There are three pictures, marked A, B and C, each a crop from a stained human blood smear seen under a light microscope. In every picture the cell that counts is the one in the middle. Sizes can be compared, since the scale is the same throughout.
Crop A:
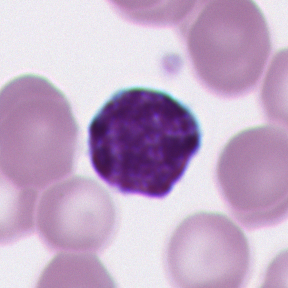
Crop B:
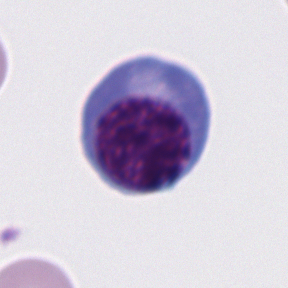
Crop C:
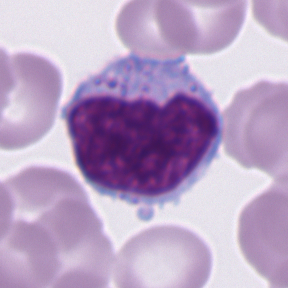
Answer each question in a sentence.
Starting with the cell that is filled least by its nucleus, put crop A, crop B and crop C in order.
From the least filled to the most, the order is B, C, A.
